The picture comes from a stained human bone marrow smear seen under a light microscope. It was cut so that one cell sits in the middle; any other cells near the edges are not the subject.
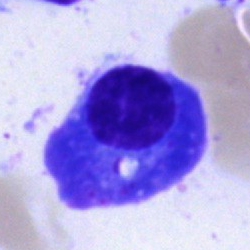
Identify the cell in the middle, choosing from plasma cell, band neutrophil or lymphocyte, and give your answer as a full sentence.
The centrally positioned cell in the crop represents a plasma cell.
